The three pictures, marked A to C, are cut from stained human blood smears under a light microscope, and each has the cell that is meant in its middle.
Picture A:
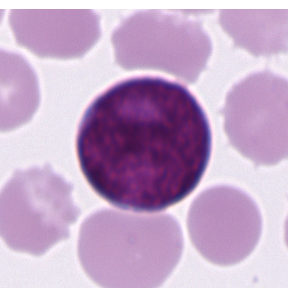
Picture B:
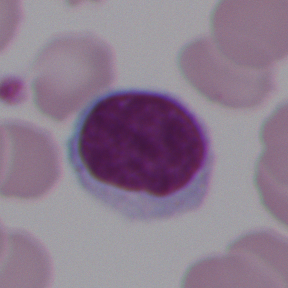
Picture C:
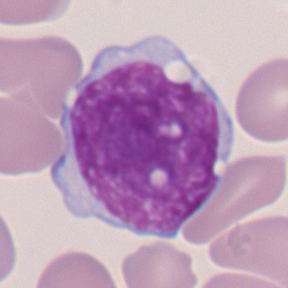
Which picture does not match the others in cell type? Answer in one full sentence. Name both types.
The others show myeloblasts, but picture B shows a typical lymphocyte.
